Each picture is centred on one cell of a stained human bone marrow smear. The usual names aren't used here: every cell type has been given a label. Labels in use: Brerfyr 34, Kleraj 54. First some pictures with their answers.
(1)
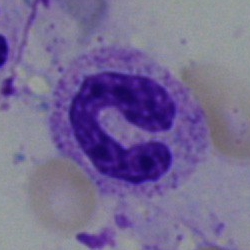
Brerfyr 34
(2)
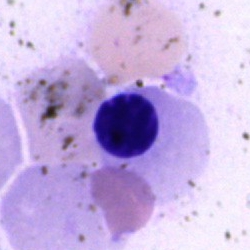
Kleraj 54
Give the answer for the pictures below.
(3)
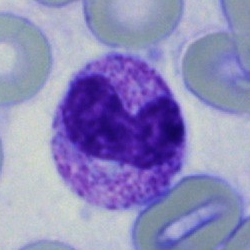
Brerfyr 34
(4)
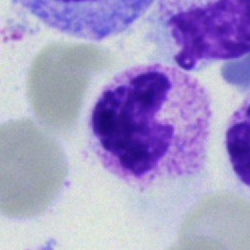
Brerfyr 34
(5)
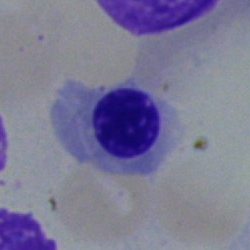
Kleraj 54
